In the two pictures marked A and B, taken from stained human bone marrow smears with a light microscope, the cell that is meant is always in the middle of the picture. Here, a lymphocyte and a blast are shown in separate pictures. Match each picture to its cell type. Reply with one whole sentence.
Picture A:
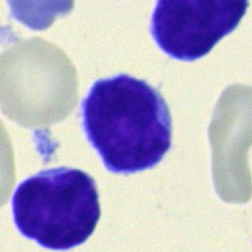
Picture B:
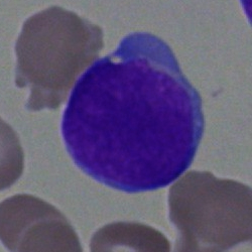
Picture B shows a blast, while picture A shows a lymphocyte.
